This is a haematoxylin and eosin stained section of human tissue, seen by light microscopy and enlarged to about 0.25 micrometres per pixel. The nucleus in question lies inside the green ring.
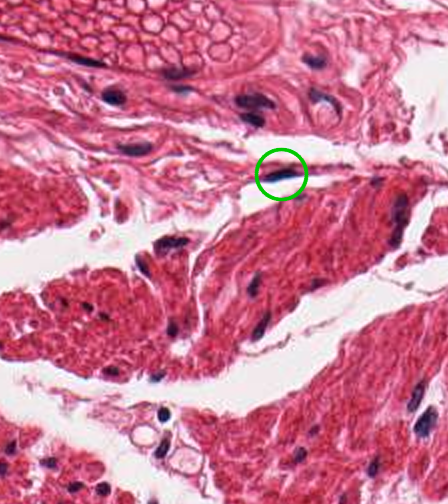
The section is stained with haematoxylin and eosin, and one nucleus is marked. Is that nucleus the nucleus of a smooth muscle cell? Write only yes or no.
no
